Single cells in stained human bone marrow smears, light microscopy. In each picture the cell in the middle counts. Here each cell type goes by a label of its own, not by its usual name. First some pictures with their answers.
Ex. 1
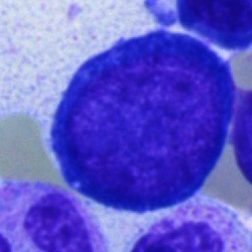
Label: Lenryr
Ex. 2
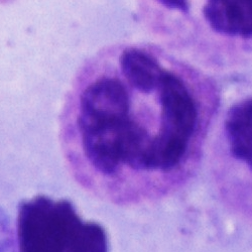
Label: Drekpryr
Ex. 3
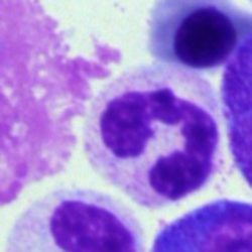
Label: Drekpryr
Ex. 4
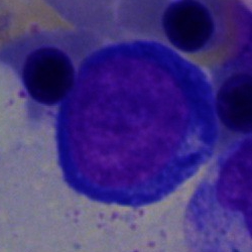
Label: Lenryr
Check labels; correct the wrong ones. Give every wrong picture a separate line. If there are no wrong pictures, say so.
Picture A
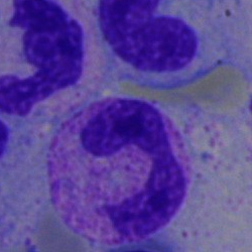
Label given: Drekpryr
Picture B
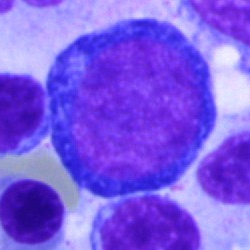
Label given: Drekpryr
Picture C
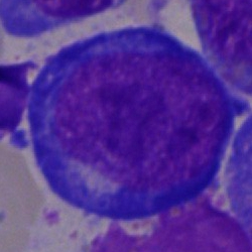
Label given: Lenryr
B: change Drekpryr to Lenryr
